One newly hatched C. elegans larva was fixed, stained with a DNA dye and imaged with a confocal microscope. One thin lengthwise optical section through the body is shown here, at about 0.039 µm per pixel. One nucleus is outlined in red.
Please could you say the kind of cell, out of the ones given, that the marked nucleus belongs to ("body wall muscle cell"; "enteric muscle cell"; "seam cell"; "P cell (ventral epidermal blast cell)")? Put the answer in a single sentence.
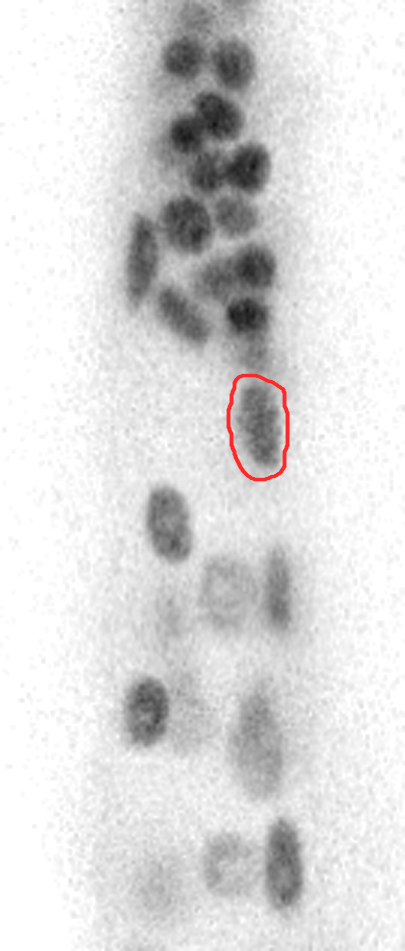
The cell with the marked nucleus is an enteric muscle cell.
